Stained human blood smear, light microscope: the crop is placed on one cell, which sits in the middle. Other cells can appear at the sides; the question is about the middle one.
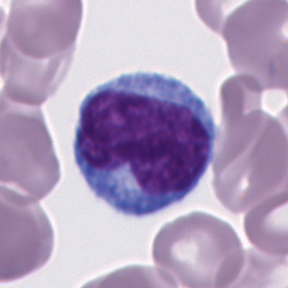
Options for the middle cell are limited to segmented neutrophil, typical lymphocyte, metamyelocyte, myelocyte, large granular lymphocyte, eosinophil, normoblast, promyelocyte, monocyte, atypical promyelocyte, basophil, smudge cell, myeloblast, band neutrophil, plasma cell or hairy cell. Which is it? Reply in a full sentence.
Here the cell in the middle is a monocyte.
